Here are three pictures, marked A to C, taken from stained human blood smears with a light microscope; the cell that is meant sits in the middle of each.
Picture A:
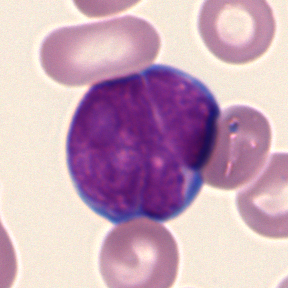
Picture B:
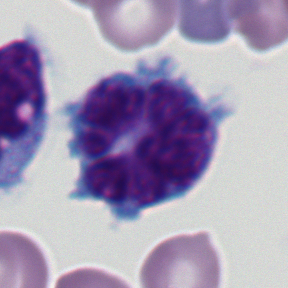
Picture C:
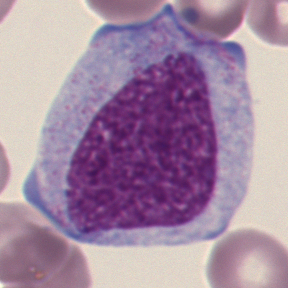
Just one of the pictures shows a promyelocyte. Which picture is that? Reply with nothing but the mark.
C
